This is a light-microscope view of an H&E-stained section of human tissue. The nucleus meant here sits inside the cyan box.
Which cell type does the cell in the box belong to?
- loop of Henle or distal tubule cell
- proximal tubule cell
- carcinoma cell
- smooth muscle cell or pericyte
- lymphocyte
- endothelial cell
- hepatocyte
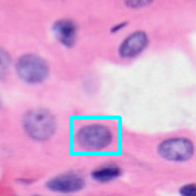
loop of Henle or distal tubule cell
